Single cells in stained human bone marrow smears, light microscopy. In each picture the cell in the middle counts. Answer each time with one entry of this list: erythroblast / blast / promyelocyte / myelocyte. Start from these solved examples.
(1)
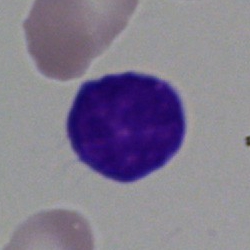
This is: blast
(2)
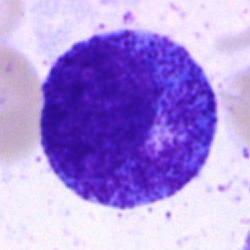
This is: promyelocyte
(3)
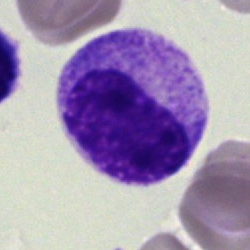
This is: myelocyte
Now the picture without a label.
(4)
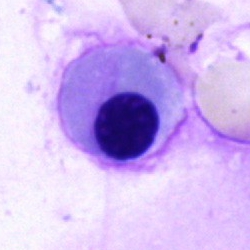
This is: erythroblast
